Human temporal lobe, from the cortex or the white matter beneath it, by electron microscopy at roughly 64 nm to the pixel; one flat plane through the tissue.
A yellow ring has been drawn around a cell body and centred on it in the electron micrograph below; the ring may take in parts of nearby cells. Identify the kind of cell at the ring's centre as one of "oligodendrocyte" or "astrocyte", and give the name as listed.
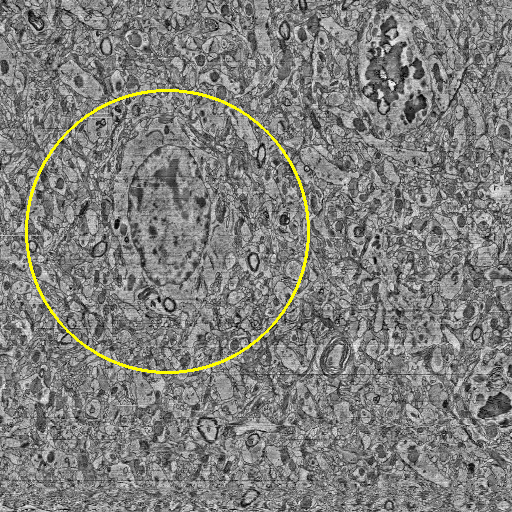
astrocyte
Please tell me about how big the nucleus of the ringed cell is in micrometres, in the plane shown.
The nucleus of the ringed cell is clearly longer than it is wide in this plane, about 9 by 5 micrometres.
